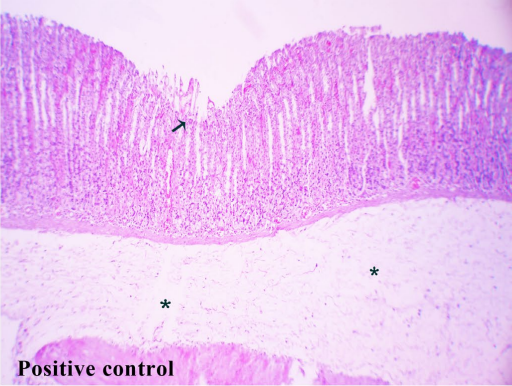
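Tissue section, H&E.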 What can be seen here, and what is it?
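Glandular mucosa with underlying submucosa and muscle layer. The mucosa consists of long, straight, closely packed tubular glands running perpendicular to the surface, lined by pink to purple cells with dark nuclei. Centrally the surface dips into a V-shaped defect where glands are disrupted and pulled apart. Beneath the mucosa the submucosa is greatly widened, very pale and loosely textured, with sparse thin fibres and scattered small nuclei, separating the mucosa from the pink muscle layer at the bottom edge.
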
